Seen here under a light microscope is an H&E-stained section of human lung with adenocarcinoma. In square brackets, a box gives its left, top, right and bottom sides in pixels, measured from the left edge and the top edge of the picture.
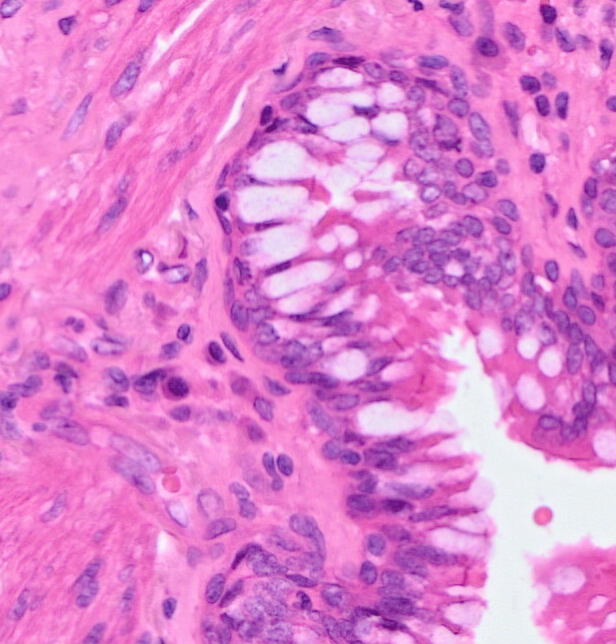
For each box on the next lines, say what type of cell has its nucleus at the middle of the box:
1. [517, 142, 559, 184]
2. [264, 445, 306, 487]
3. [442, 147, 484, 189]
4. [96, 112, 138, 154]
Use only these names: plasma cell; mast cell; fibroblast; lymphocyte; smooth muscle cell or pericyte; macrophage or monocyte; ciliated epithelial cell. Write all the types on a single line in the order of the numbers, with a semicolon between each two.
lymphocyte; lymphocyte; ciliated epithelial cell; smooth muscle cell or pericyte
